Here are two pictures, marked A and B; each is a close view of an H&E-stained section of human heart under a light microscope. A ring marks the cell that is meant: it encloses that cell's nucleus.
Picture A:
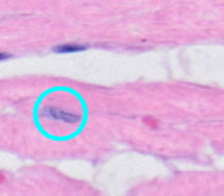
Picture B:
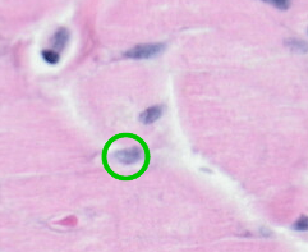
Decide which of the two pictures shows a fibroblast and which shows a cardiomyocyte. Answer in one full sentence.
Picture B shows a fibroblast, while picture A shows a cardiomyocyte.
